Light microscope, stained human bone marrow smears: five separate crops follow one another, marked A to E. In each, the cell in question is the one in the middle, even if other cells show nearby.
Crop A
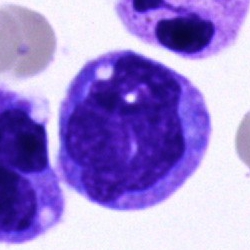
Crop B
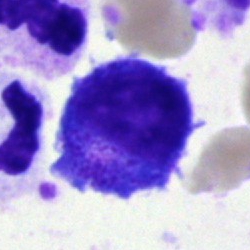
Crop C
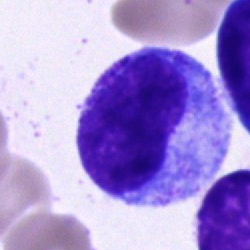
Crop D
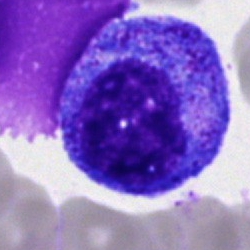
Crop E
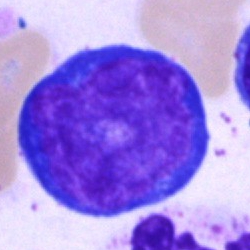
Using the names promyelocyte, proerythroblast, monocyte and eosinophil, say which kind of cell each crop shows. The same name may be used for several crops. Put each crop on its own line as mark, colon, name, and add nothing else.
A: monocyte
B: promyelocyte
C: promyelocyte
D: promyelocyte
E: proerythroblast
